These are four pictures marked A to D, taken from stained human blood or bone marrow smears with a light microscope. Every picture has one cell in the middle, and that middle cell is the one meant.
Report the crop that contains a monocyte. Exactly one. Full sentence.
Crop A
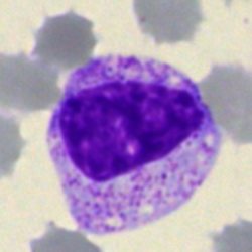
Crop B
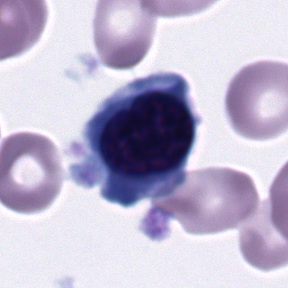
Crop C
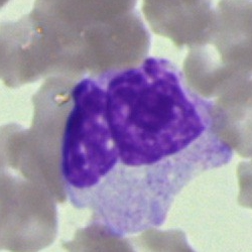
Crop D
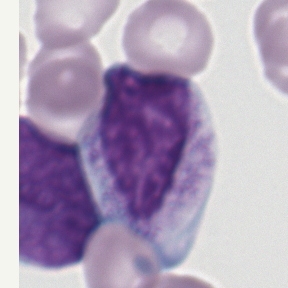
Crop C, of the crops presented, is the one showing a monocyte.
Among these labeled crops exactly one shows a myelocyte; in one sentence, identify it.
Crop D is the crop whose central cell is a myelocyte.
